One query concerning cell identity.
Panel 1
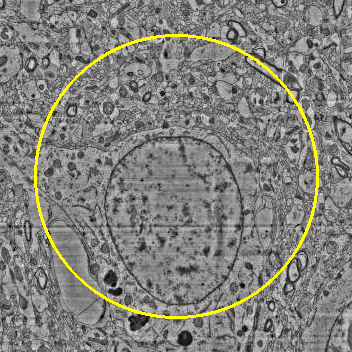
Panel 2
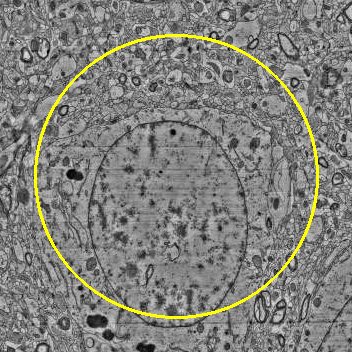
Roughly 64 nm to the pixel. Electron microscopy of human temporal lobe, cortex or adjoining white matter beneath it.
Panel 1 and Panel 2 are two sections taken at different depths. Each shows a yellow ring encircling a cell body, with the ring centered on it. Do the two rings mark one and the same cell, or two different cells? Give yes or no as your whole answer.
yes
